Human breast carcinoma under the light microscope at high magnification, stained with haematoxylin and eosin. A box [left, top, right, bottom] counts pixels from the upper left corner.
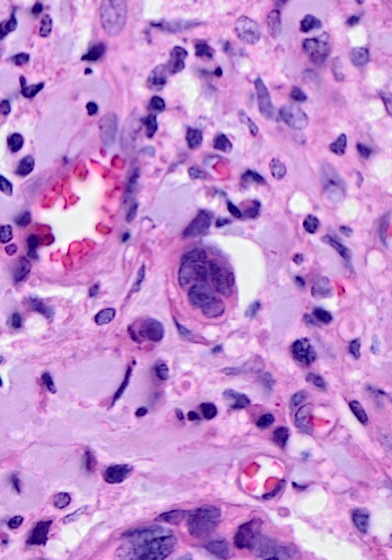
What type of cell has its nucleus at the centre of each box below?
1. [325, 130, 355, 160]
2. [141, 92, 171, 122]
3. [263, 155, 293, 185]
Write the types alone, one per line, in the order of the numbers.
lymphocyte
lymphocyte
mast cell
